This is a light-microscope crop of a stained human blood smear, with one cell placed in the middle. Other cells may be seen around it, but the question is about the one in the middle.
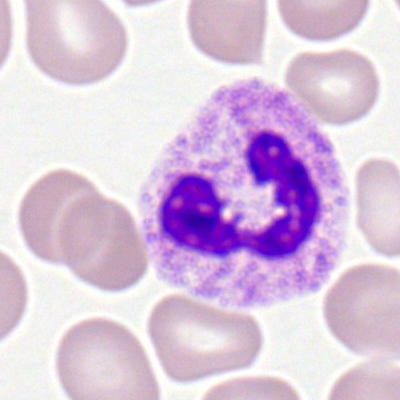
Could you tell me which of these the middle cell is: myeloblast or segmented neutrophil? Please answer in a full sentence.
Occupying the centre of the crop is a segmented neutrophil.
